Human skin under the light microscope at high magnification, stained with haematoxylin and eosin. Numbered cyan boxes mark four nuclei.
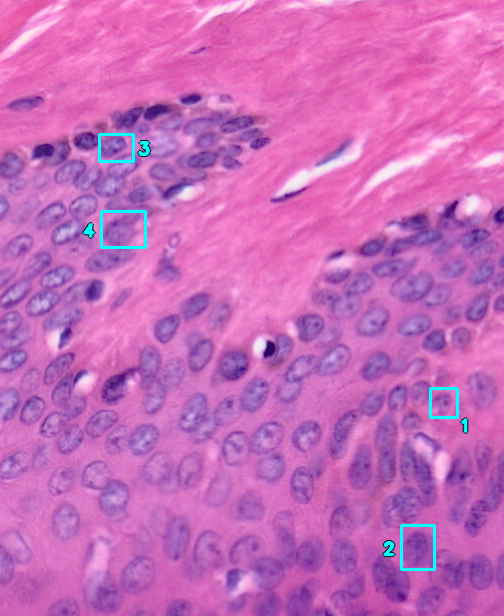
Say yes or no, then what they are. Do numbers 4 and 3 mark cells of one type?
Yes, cell 4 and cell 3 are both basal keratinocytes.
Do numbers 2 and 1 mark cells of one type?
No, cell 2 is a suprabasal keratinocyte, and cell 1, in contrast, is a basal keratinocyte.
